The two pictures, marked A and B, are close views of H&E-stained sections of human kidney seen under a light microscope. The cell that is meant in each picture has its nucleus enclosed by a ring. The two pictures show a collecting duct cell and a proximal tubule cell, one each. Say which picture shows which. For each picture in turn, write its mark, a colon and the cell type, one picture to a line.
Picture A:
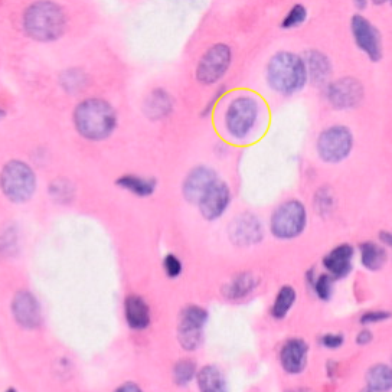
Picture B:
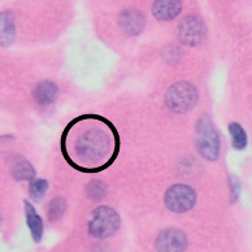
A: collecting duct cell
B: proximal tubule cell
